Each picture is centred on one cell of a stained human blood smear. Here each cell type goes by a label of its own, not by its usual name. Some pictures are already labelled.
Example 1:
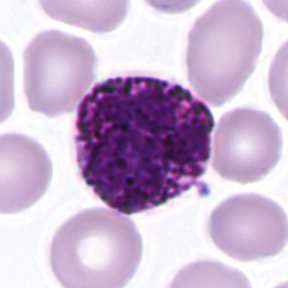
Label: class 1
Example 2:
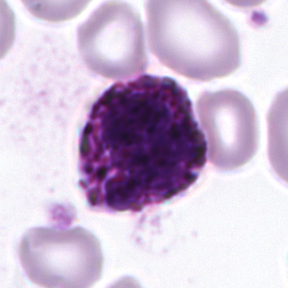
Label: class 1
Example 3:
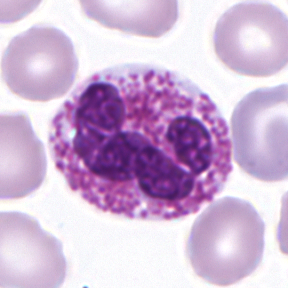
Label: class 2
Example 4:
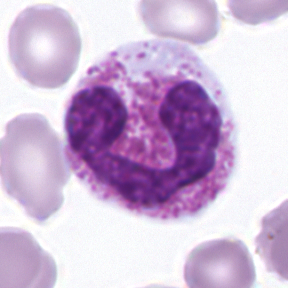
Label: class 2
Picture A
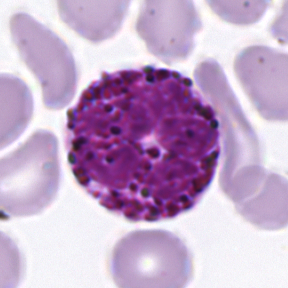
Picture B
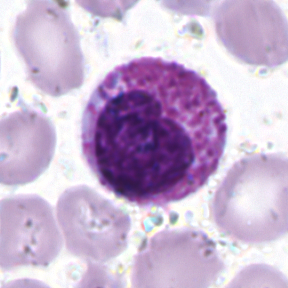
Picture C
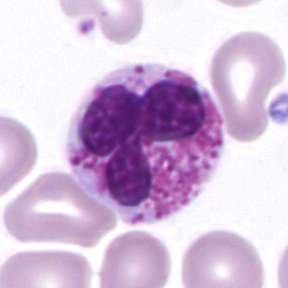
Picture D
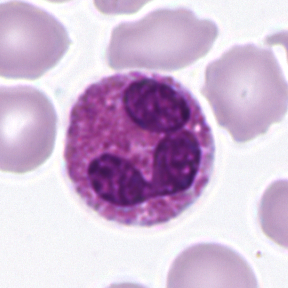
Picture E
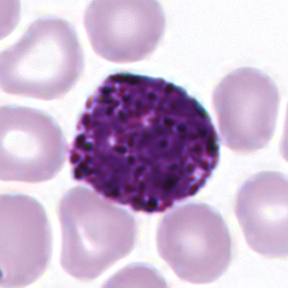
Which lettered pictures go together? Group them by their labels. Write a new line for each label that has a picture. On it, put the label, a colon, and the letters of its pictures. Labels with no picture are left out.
class 1: A, E
class 2: B, C, D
